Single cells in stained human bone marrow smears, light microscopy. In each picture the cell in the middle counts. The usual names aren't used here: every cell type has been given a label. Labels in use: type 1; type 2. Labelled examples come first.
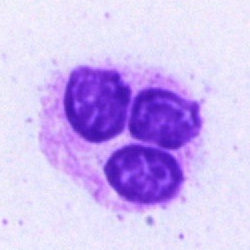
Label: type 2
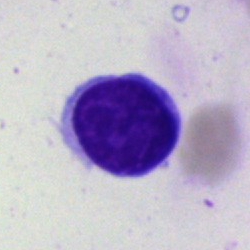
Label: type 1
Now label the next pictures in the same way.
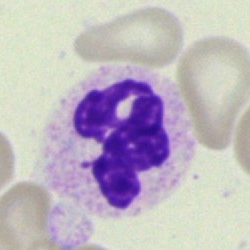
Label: type 2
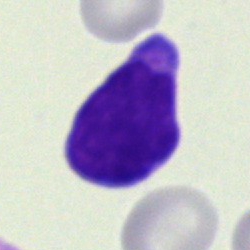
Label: type 1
